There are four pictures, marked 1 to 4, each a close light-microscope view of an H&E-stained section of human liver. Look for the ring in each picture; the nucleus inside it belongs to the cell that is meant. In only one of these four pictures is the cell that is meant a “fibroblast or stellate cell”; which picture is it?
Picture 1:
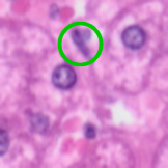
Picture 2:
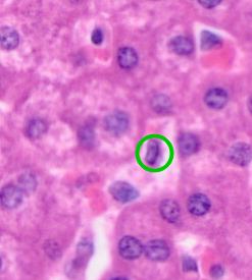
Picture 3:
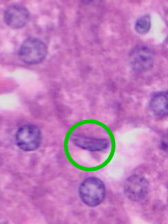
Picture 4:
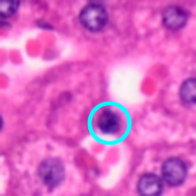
4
